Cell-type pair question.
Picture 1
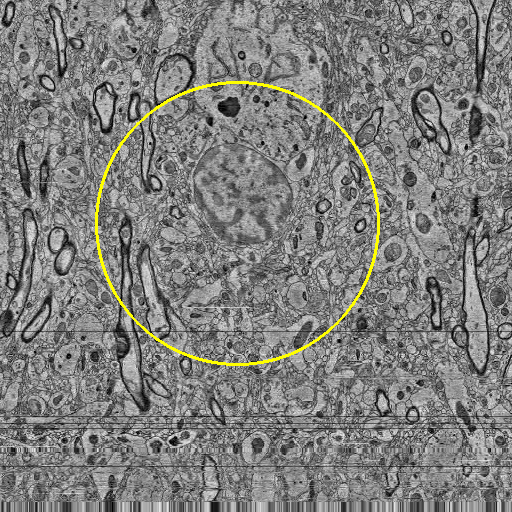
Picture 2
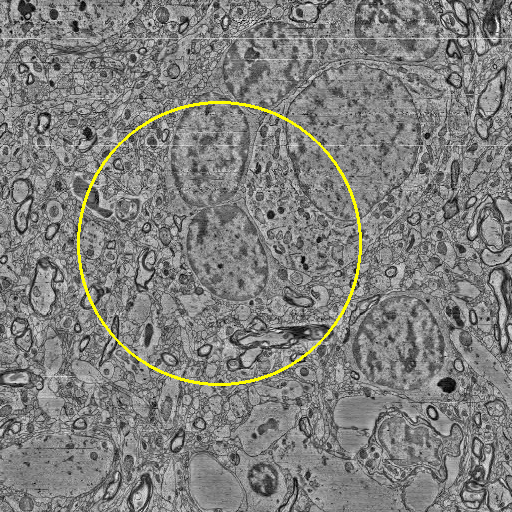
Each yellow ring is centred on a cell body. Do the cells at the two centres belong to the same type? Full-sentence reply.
No, the two cells belong to two types.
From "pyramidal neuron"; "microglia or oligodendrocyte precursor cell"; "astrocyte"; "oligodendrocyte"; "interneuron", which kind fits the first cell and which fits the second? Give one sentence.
The cell marked in the first picture is a microglial cell or oligodendrocyte precursor cell, and the one marked in the second is an oligodendrocyte.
